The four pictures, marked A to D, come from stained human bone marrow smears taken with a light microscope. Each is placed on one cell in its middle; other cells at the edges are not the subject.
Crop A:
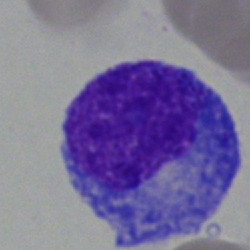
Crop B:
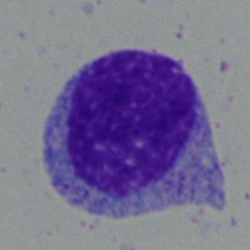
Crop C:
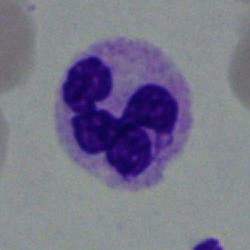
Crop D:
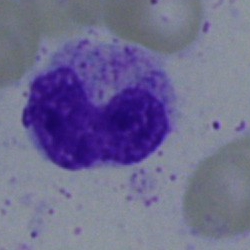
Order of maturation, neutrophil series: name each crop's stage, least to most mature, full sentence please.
Arranged by increasing maturity, the crops are crop A (a promyelocyte), crop B (a myelocyte), crop D (a band neutrophil) and crop C (a segmented neutrophil).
